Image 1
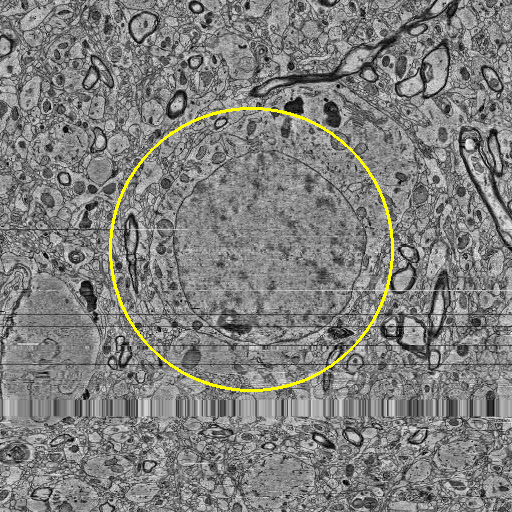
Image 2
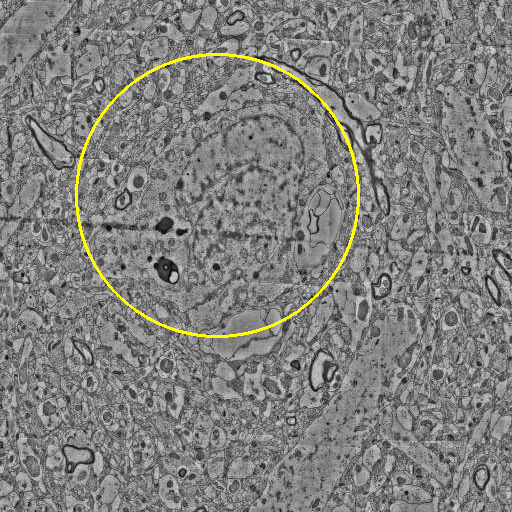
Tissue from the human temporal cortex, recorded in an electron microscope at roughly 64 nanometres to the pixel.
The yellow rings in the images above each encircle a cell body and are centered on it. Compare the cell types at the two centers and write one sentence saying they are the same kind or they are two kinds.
Taken together, the two cells at the ring centers are two kinds.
